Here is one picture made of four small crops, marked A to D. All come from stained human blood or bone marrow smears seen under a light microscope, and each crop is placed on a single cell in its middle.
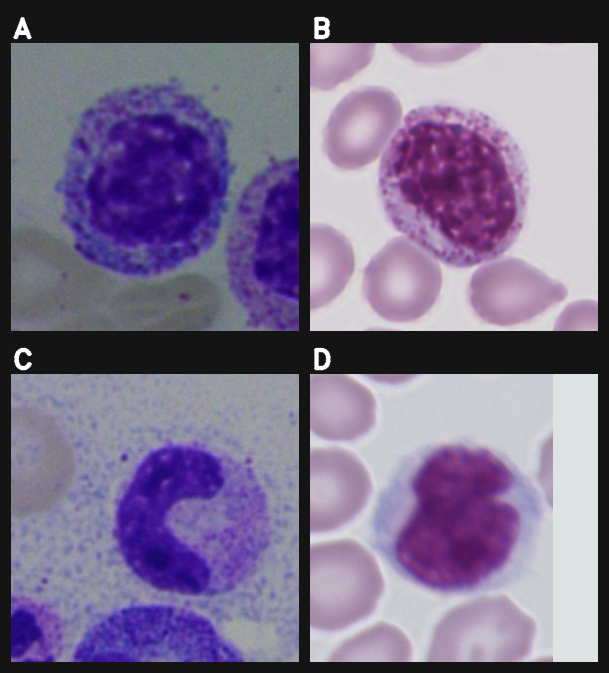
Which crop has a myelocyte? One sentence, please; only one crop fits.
It is crop A, not any other, that shows a myelocyte.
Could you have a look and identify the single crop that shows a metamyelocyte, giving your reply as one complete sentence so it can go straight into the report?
The one crop in the set with a metamyelocyte is crop B.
